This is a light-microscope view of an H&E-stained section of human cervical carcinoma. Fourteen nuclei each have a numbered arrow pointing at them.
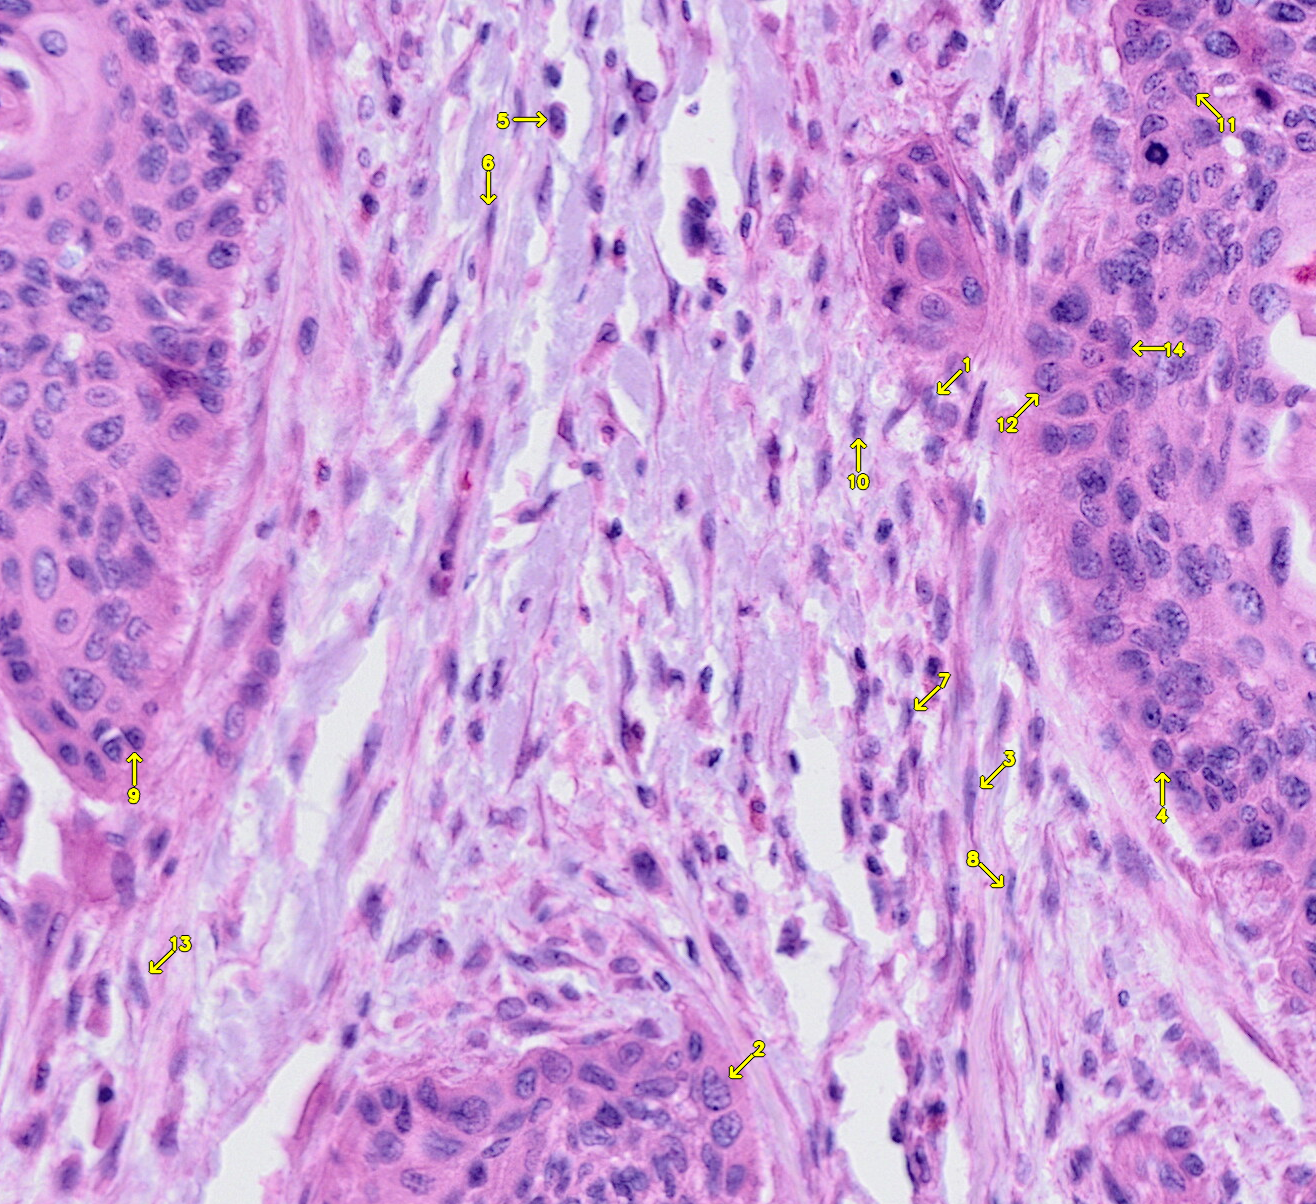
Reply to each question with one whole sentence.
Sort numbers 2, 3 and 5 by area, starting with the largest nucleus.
Largest first, the order by area is 2, 3, 5.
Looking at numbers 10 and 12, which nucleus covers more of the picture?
At about 1.5 times the area of nucleus 10, nucleus 12 is the larger of the two.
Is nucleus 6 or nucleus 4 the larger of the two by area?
Nucleus 4 is the larger one, covering about 1.5 times the area of nucleus 6.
